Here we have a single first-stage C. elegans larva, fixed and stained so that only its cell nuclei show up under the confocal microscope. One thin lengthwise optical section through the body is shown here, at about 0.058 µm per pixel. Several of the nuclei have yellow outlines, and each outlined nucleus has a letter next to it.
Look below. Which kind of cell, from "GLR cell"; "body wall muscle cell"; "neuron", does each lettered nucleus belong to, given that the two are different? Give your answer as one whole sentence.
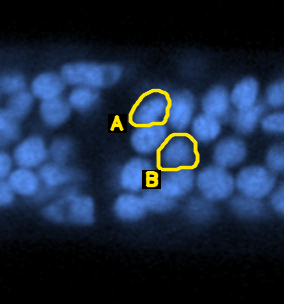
A is from a GLR cell, and B is from a neuron.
